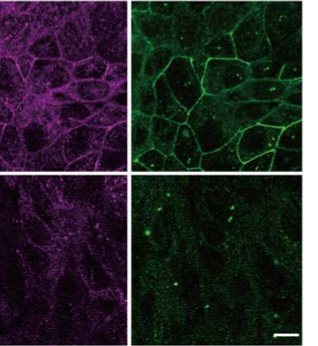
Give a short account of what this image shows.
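Cultured epithelial cells are shown in two fluorescence channels, magenta and green. In the upper row, the cells form a closed sheet of polygonal, cobblestone-like cells. In the lower row, these continuous border outlines are largely lost. The magenta signal is faint and diffuse, with only vague traces of cell edges, and hints at cells that are more elongated and lined up. The green signal is reduced to scattered bright dots without a linear network at the borders.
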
